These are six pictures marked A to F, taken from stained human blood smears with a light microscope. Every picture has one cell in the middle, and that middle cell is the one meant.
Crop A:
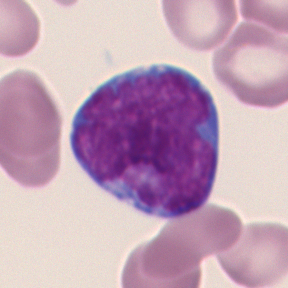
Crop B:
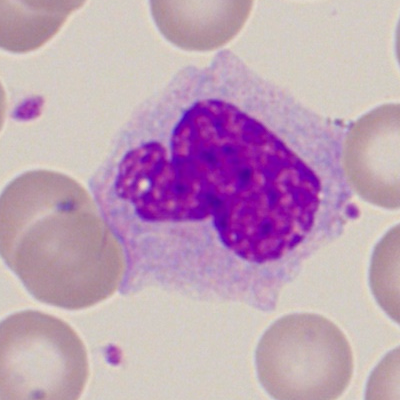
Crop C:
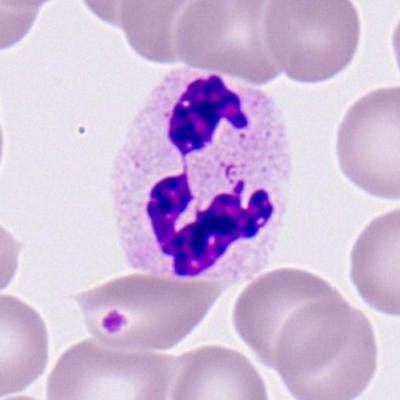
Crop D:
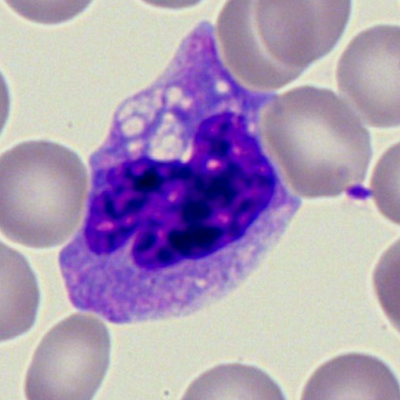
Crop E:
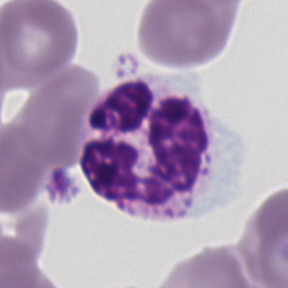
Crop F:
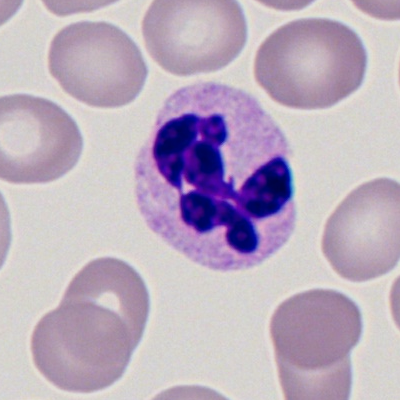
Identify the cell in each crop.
A: blast
B: monocyte
C: segmented neutrophil
D: monocyte
E: segmented neutrophil
F: segmented neutrophil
